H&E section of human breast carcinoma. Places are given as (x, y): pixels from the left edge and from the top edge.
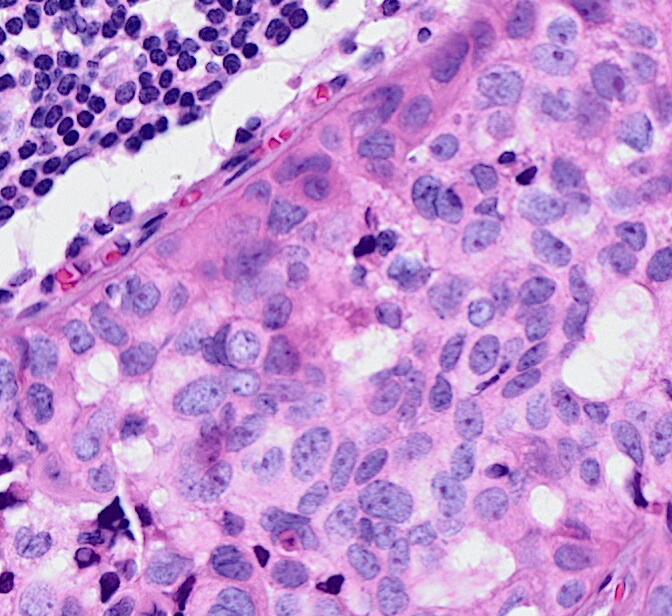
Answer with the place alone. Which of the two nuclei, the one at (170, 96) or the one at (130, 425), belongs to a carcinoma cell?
(130, 425)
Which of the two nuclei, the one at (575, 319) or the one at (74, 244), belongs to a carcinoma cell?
(575, 319)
